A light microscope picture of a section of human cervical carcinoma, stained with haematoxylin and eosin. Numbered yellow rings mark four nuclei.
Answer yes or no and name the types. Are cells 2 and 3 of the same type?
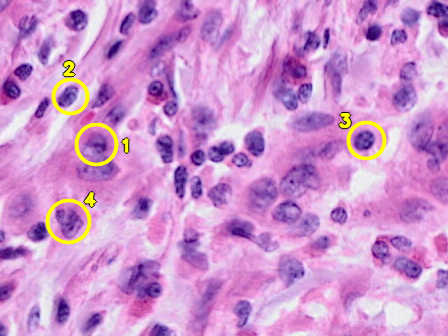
Yes, cells 2 and 3 are both termed lymphocytes.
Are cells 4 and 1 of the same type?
No, what is marked as cell 4 is a macrophage or monocyte, and what is marked as cell 1 is an endothelial cell.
